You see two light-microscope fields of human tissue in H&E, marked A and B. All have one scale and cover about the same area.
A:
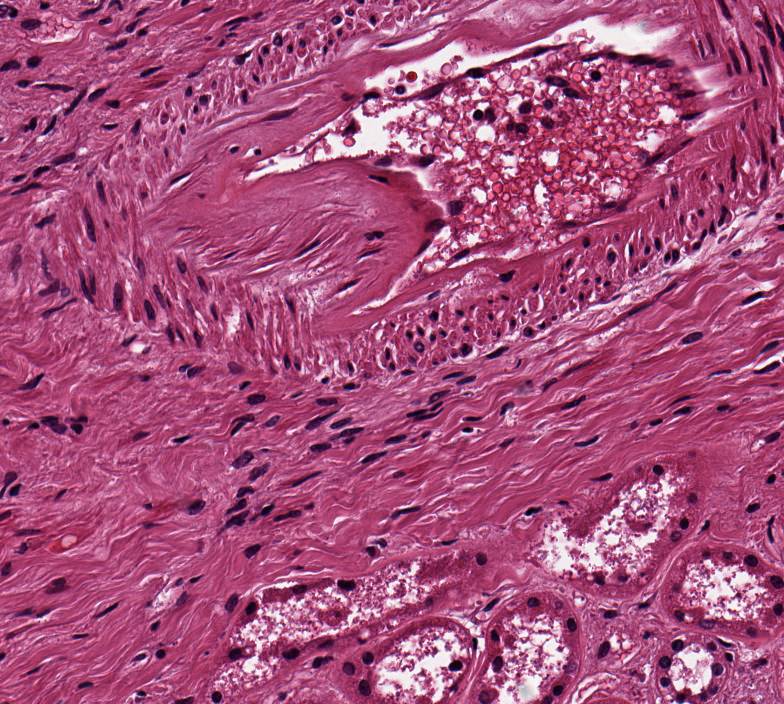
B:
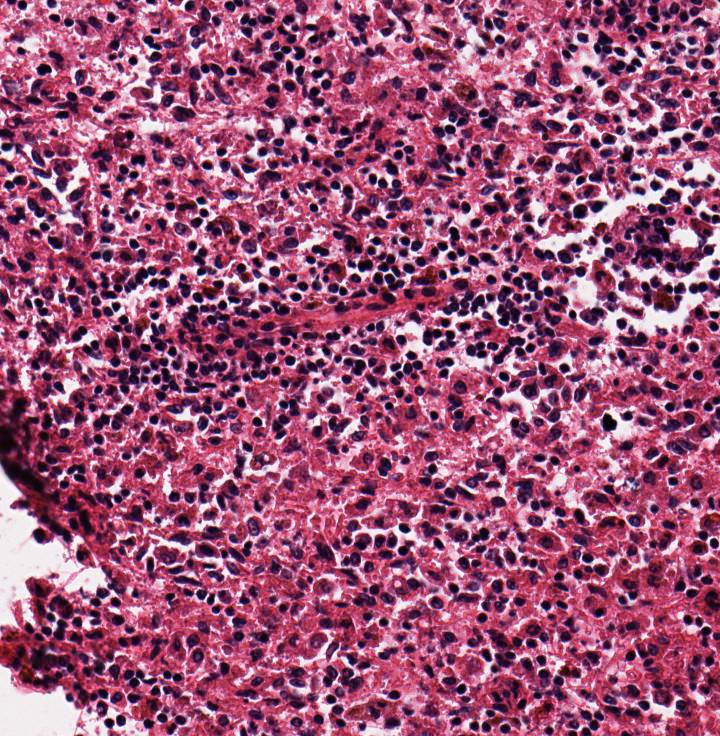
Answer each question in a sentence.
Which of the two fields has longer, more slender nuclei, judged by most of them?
Longer, more slender nuclei lie in picture A.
